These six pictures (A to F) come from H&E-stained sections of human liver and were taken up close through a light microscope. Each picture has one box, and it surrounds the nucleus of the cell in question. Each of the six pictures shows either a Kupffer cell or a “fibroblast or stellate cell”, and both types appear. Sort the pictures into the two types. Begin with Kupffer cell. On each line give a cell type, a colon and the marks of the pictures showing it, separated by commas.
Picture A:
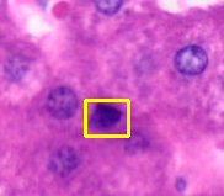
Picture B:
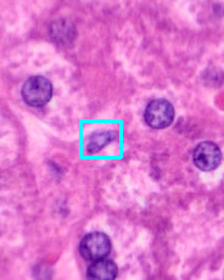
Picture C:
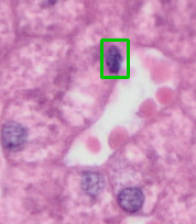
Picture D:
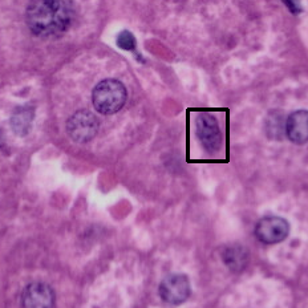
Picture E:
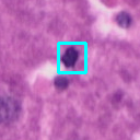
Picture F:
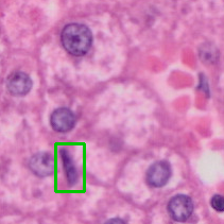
Kupffer cell: B, D
fibroblast or stellate cell: A, C, E, F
